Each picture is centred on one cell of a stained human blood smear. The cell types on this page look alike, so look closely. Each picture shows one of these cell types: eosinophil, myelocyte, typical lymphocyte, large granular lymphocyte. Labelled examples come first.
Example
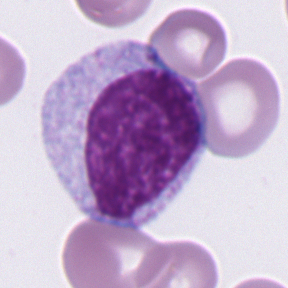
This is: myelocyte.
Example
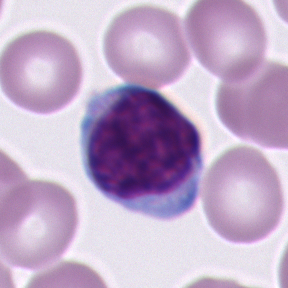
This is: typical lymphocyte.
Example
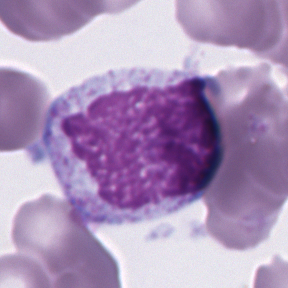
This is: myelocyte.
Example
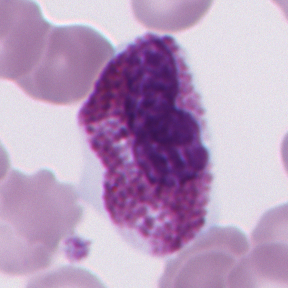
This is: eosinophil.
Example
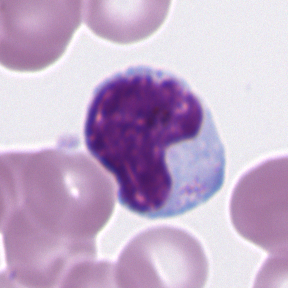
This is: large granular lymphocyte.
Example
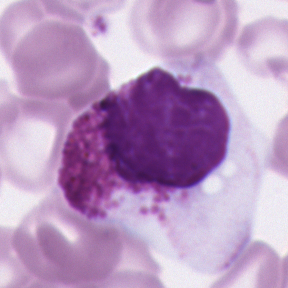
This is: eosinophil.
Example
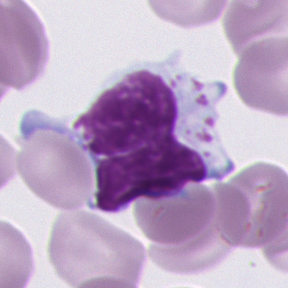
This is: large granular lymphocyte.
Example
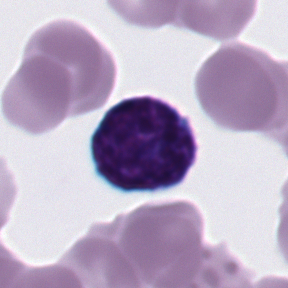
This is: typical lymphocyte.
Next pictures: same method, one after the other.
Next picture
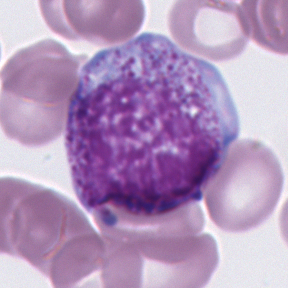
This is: myelocyte.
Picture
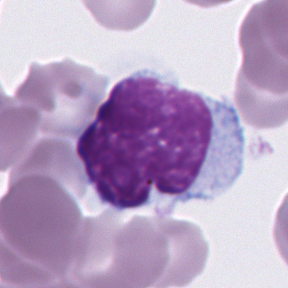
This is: typical lymphocyte.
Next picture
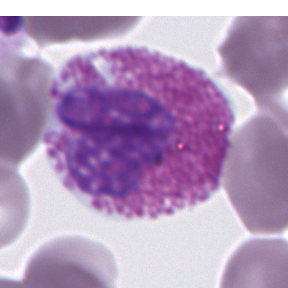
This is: eosinophil.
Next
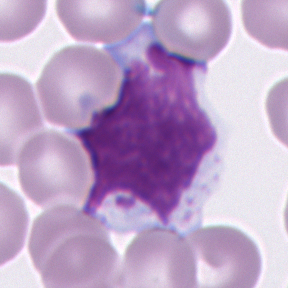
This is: large granular lymphocyte.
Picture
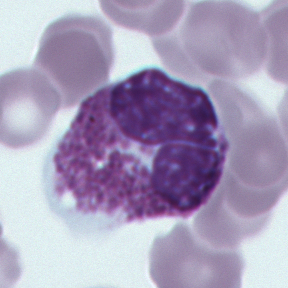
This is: eosinophil.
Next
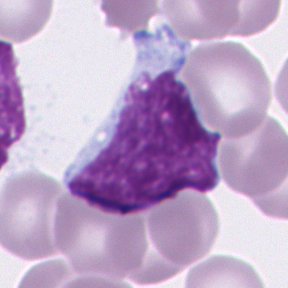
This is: typical lymphocyte.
